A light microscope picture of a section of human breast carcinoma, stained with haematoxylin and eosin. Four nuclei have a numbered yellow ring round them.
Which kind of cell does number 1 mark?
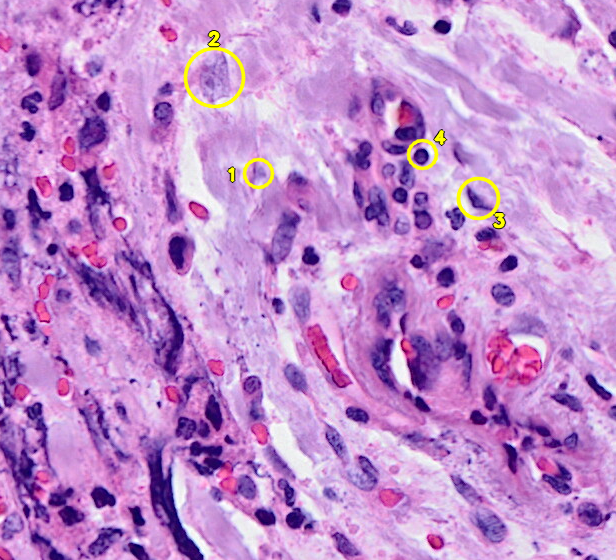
fibroblast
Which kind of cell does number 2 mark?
fibroblast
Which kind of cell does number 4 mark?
lymphocyte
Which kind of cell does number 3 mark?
fibroblast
